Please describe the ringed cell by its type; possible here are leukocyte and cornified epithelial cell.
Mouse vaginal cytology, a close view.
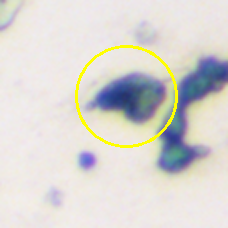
The yellow ring marks a cornified epithelial cell.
